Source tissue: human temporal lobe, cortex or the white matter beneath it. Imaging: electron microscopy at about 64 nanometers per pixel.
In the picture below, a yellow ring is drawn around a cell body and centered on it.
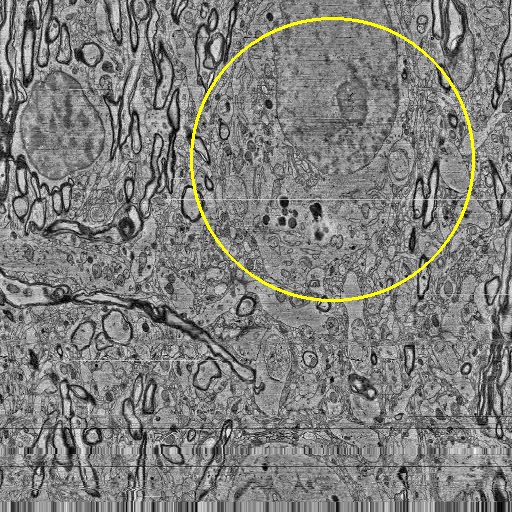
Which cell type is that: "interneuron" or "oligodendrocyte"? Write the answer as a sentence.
The cell centered in the ring is an interneuron.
